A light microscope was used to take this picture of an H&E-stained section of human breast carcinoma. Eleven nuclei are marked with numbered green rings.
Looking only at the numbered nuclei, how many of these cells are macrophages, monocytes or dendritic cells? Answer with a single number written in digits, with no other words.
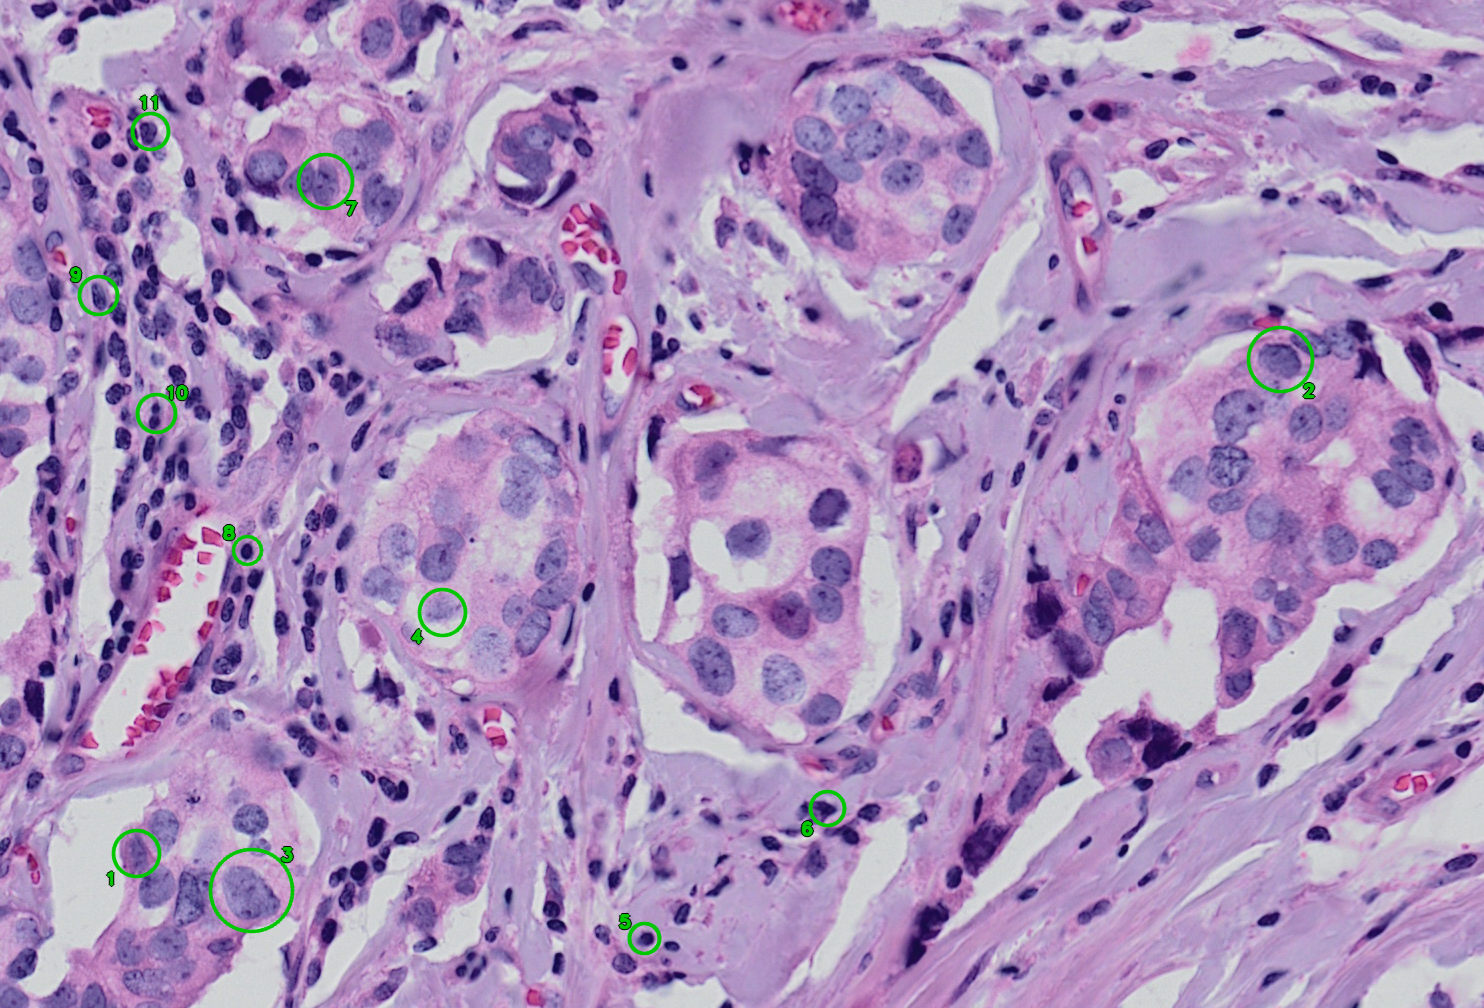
0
